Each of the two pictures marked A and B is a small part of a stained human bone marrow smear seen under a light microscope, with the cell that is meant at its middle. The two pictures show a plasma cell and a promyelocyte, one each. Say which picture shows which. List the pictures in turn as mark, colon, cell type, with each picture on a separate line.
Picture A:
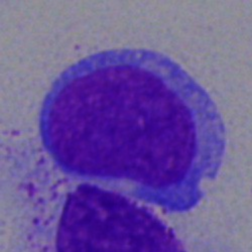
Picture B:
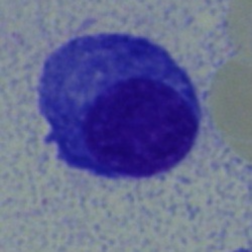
A: promyelocyte
B: plasma cell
